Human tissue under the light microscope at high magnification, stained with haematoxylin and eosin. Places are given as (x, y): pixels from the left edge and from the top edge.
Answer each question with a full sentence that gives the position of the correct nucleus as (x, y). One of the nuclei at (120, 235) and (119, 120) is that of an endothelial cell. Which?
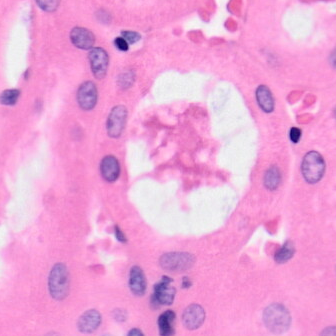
The nucleus of an endothelial cell is the one at (120, 235).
